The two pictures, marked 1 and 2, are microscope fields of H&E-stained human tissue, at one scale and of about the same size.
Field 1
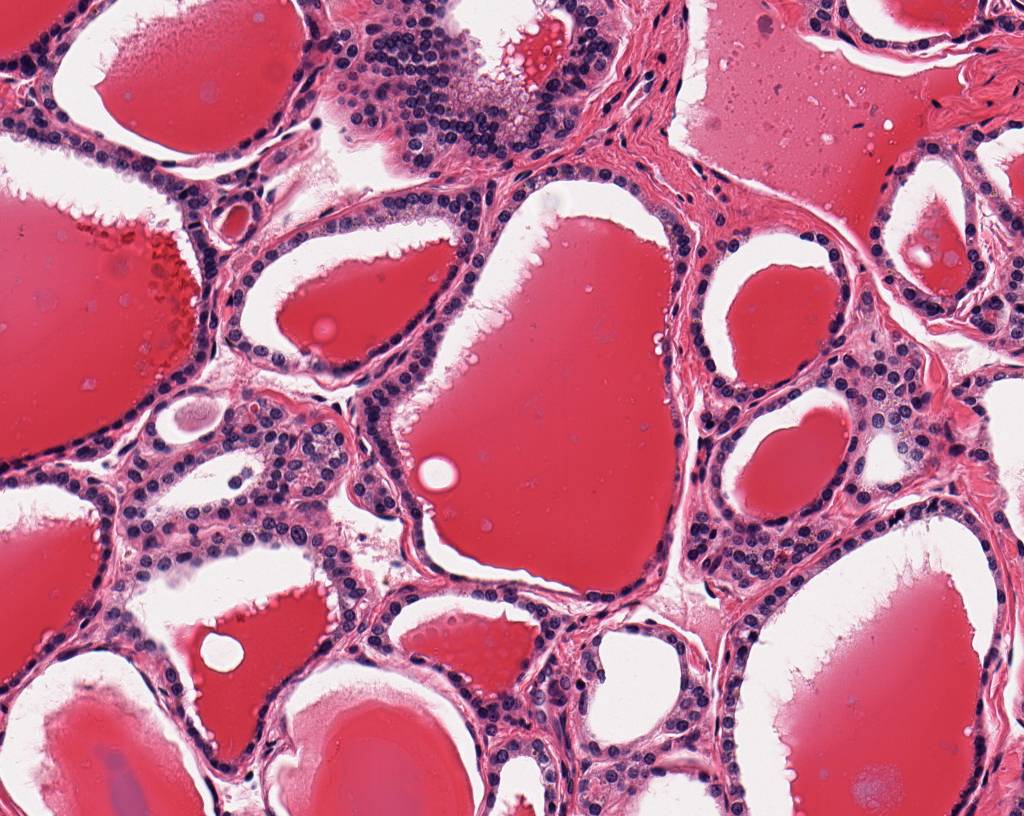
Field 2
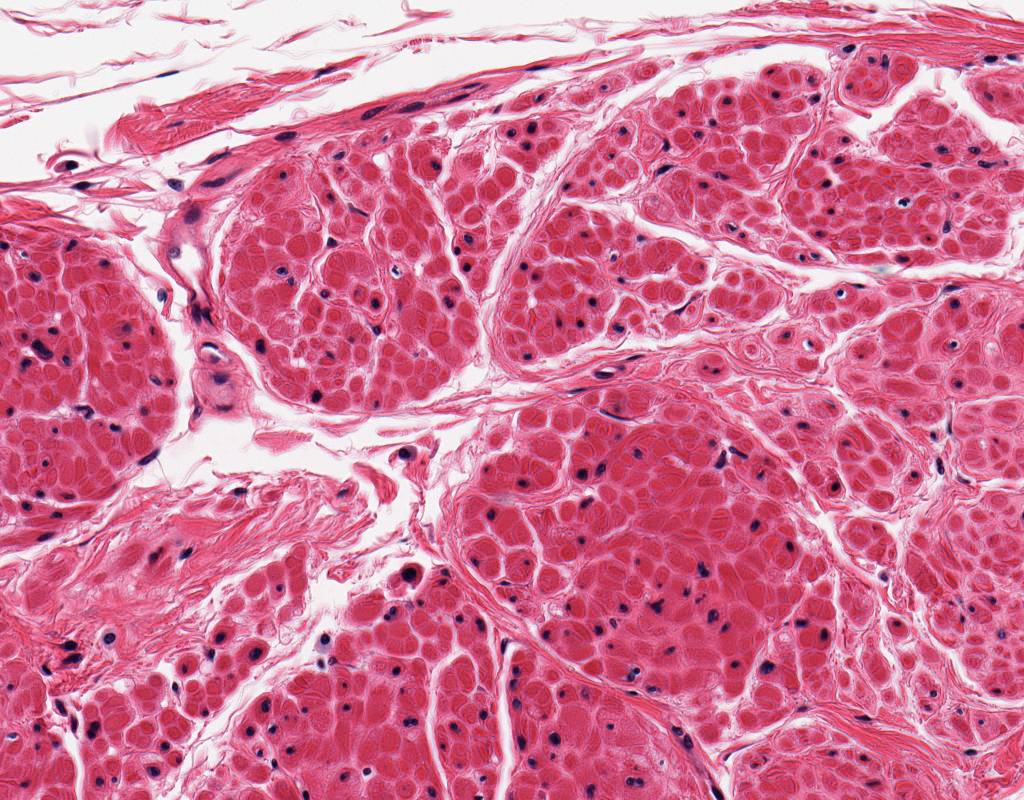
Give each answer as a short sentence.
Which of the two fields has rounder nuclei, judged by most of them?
It is field 2 whose nuclei are the rounder.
